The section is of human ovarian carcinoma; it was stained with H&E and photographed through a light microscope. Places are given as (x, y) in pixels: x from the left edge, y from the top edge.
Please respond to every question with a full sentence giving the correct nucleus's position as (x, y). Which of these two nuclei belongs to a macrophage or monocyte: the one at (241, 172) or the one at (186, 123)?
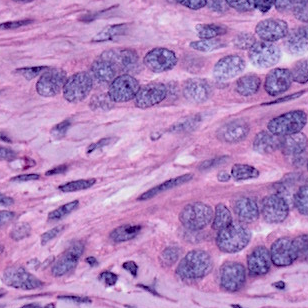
The nucleus of a macrophage or monocyte is the one at (241, 172).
